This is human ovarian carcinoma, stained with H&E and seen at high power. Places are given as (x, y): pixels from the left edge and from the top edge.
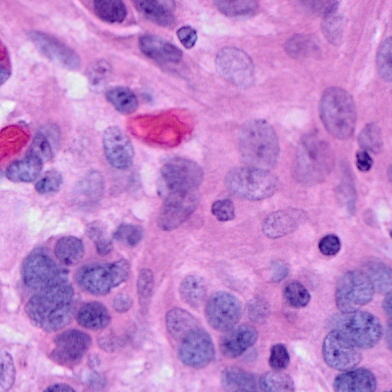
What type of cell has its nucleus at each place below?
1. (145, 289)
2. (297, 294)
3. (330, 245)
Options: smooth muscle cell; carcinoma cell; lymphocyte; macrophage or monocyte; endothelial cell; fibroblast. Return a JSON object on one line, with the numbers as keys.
{"1": "fibroblast", "2": "lymphocyte", "3": "lymphocyte"}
